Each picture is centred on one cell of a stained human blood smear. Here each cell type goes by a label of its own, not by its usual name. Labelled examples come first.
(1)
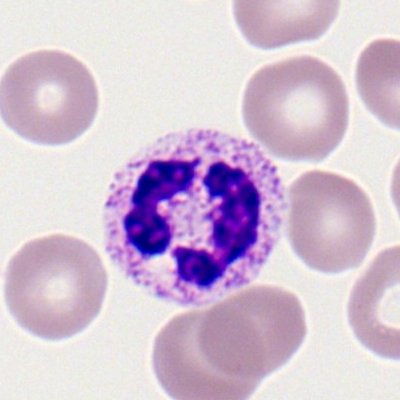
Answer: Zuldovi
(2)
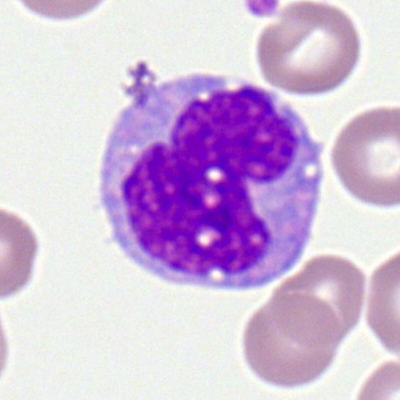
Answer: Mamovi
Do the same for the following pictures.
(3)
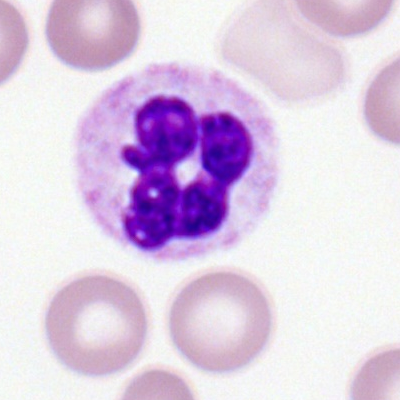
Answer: Zuldovi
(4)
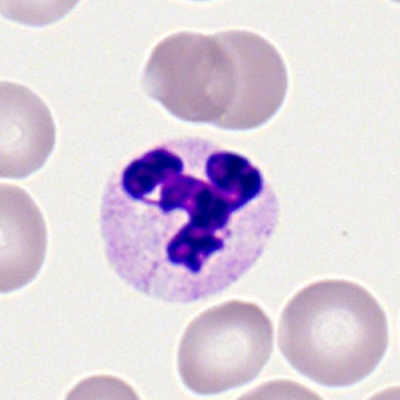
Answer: Zuldovi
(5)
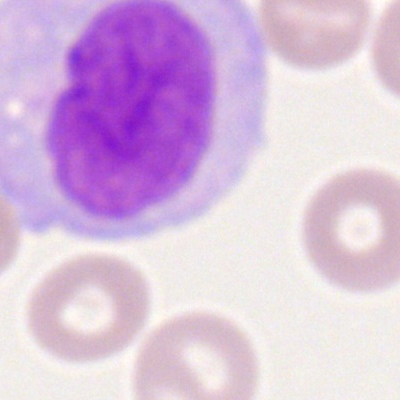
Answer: Mamovi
